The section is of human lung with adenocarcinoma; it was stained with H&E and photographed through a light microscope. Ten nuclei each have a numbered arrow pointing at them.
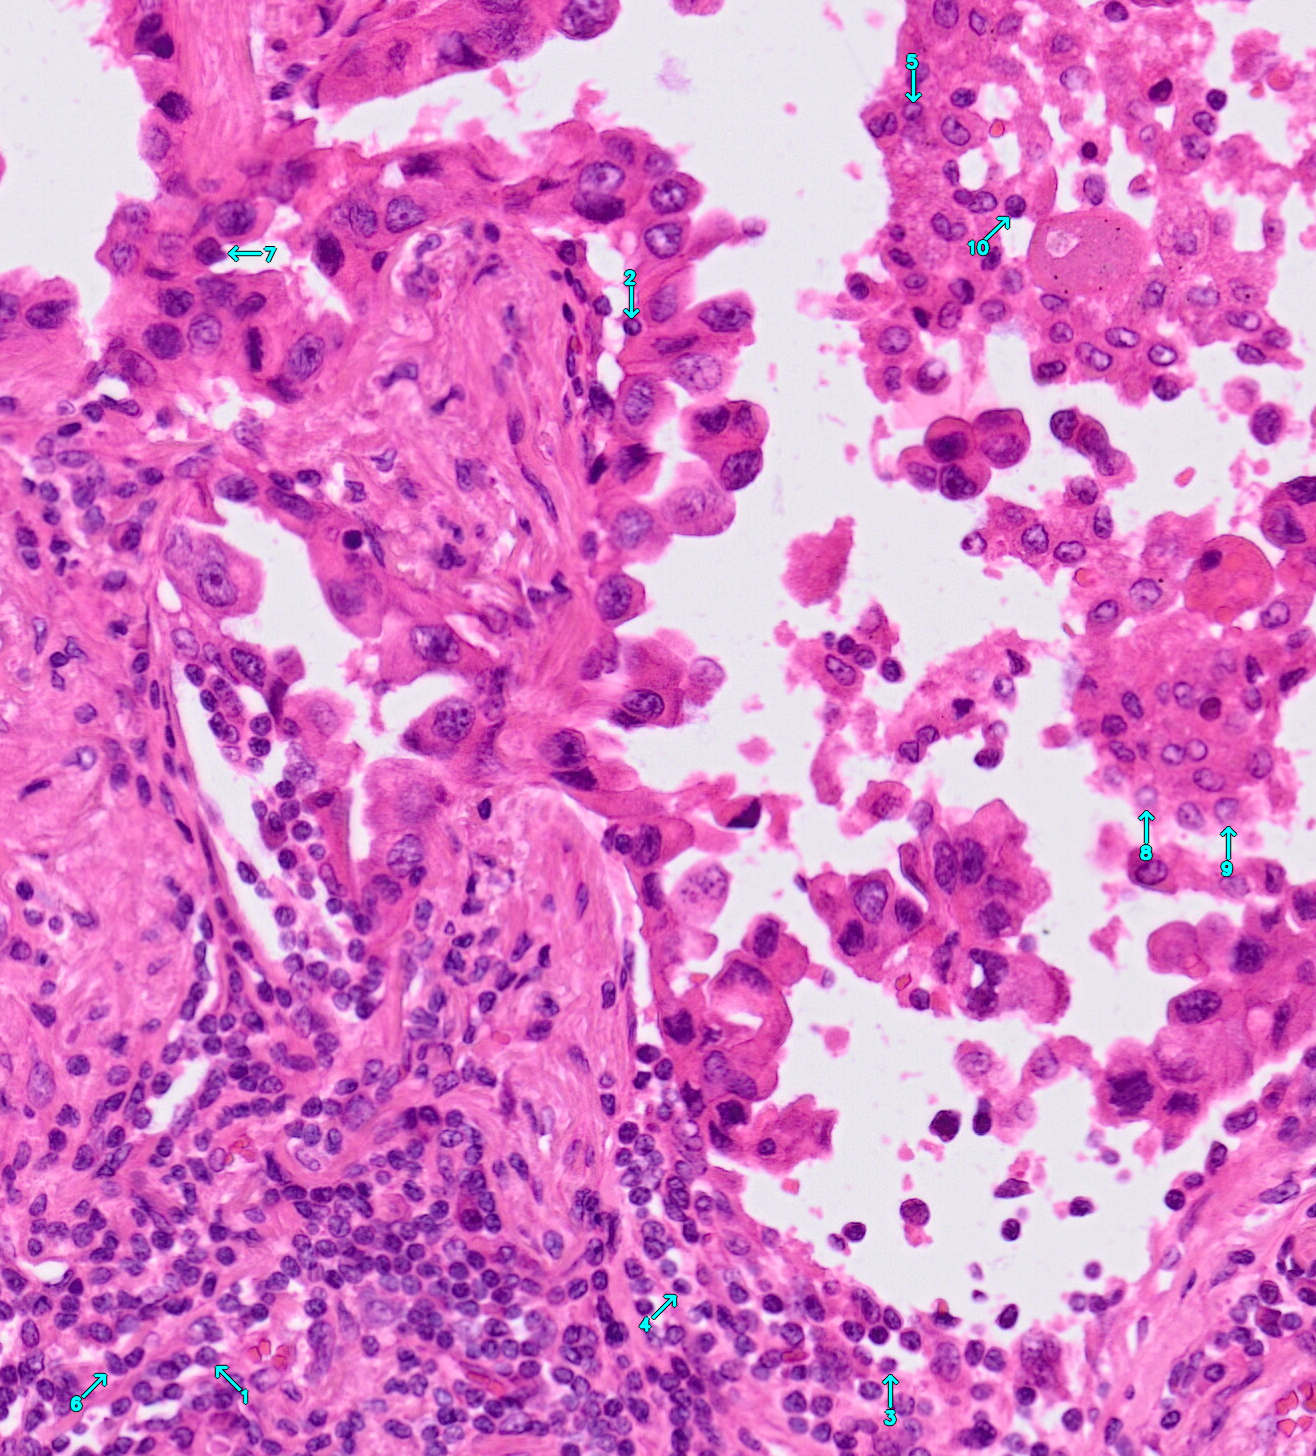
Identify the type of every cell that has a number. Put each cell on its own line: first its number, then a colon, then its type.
1: lymphocyte
2: lymphocyte
3: lymphocyte
4: lymphocyte
5: macrophage or monocyte
6: lymphocyte
7: carcinoma cell
8: macrophage or monocyte
9: macrophage or monocyte
10: lymphocyte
